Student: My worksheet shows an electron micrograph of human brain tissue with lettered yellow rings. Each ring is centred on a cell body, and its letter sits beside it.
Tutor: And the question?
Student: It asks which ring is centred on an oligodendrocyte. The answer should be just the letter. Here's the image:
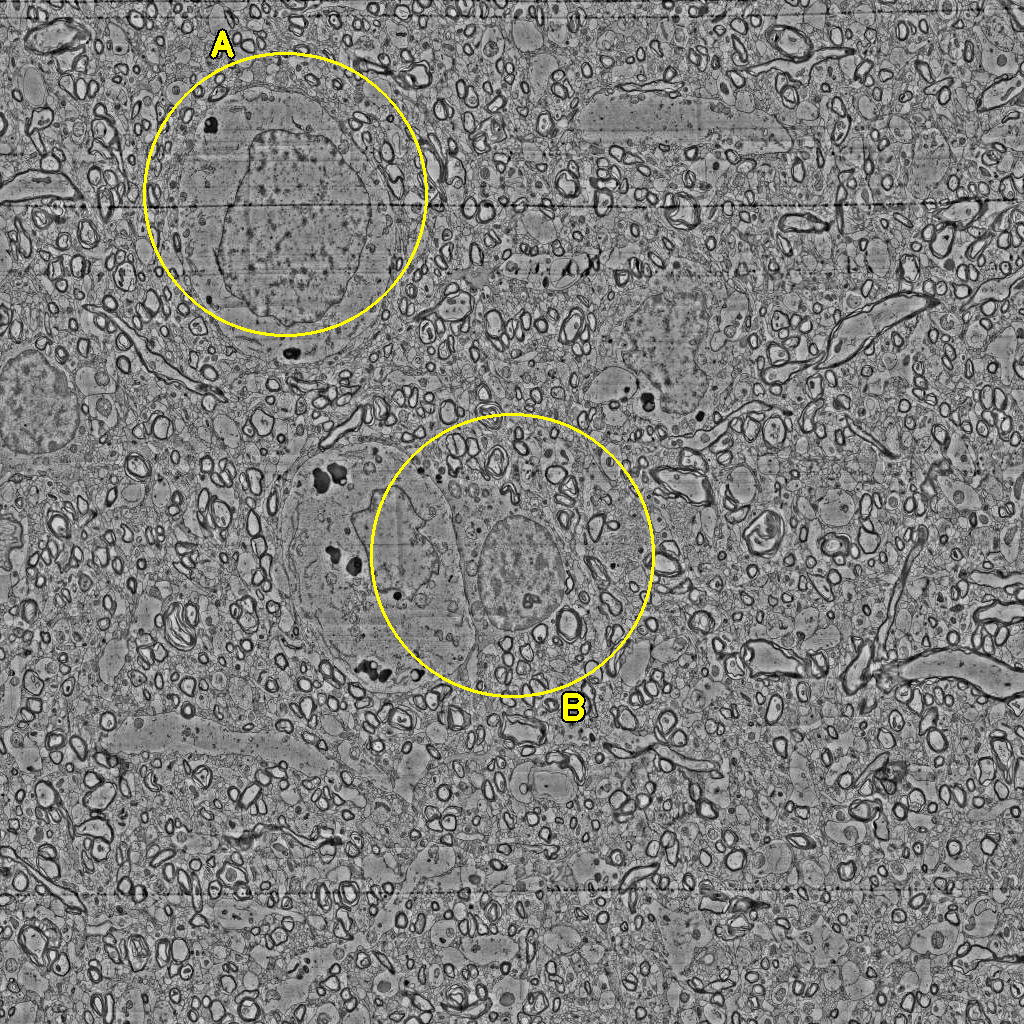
B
